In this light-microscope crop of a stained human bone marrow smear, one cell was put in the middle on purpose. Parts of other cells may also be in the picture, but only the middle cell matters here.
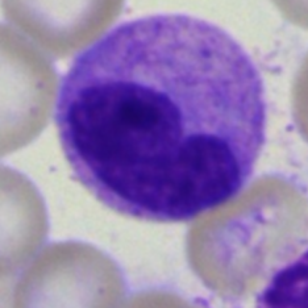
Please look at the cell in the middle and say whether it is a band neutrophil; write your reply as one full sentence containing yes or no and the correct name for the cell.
Yes, the crop is centred on a band neutrophil.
